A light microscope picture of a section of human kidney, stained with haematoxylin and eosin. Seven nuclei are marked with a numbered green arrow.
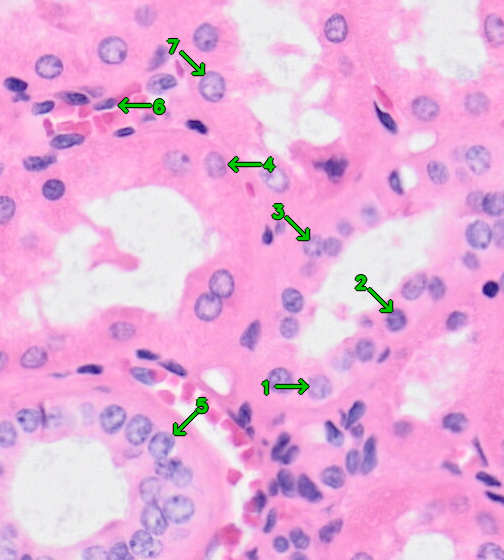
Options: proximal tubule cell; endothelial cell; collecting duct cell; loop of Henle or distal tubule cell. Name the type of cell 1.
collecting duct cell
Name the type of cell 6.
endothelial cell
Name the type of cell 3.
collecting duct cell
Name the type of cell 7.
proximal tubule cell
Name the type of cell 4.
proximal tubule cell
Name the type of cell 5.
collecting duct cell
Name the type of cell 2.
collecting duct cell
